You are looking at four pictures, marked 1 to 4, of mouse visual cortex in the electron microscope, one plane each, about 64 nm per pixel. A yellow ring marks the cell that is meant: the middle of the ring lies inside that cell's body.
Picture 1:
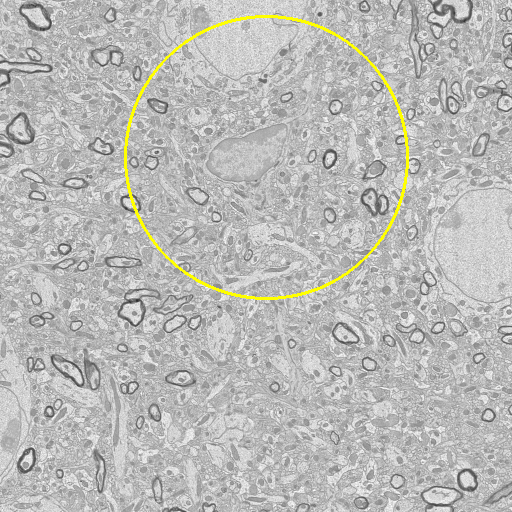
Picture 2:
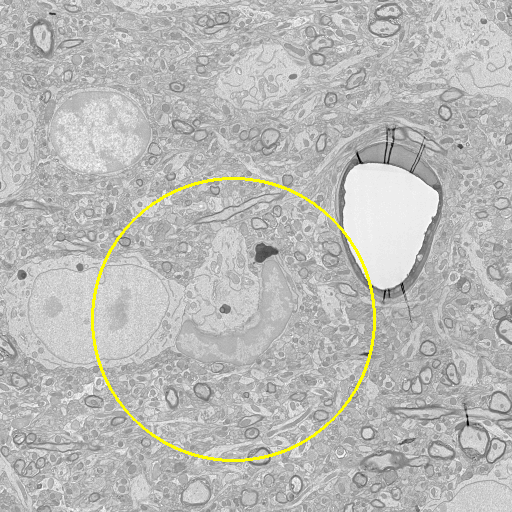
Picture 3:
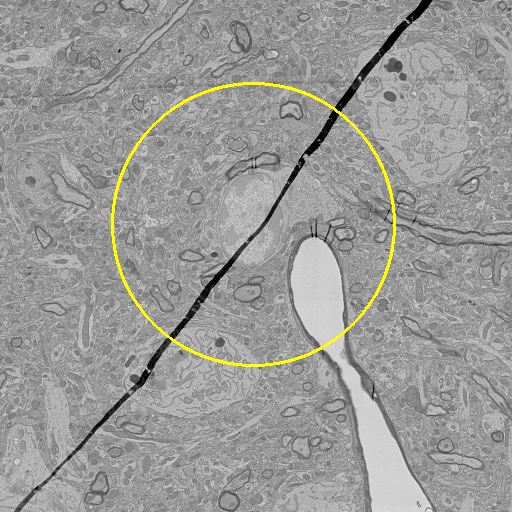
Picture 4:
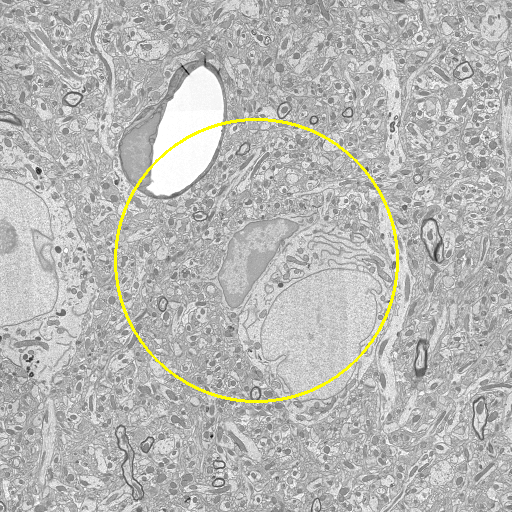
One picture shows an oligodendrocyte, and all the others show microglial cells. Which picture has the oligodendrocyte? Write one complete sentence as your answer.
It is picture 3 that shows the oligodendrocyte.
